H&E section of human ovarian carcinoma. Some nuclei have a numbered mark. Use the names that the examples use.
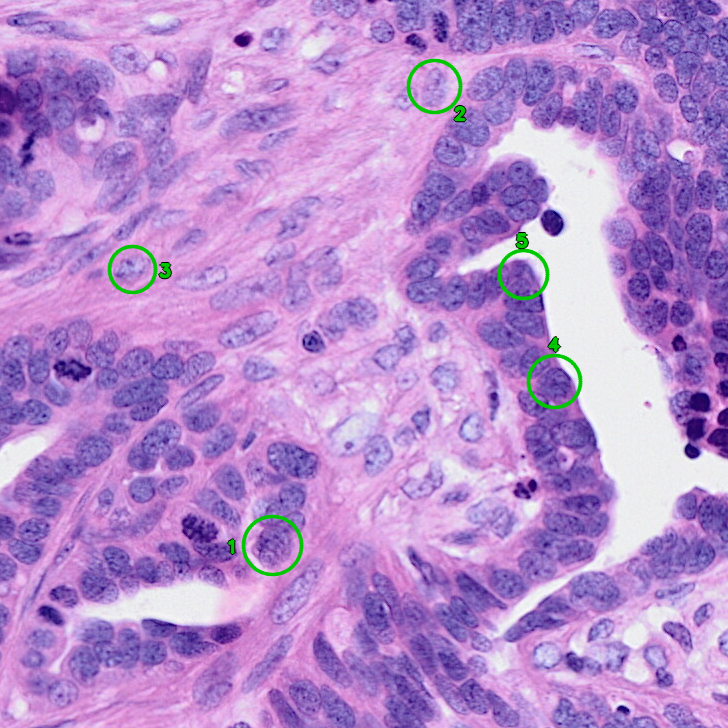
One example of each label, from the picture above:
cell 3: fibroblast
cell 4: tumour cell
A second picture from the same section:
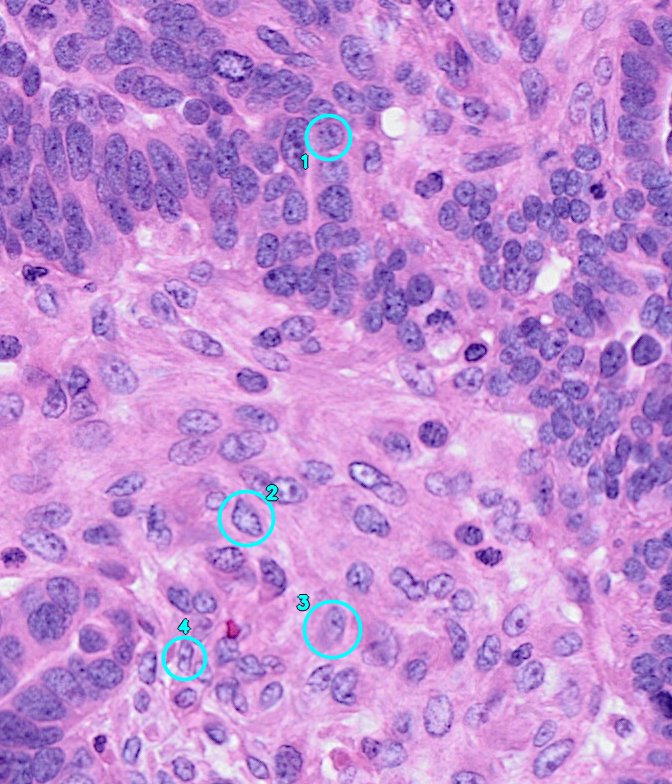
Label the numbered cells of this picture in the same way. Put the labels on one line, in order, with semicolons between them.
tumour cell; fibroblast; fibroblast; fibroblast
